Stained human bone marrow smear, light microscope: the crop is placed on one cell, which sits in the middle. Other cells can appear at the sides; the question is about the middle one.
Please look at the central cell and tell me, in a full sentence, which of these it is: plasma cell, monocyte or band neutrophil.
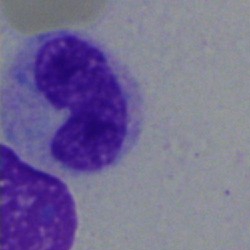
This crop has a band neutrophil at its centre.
